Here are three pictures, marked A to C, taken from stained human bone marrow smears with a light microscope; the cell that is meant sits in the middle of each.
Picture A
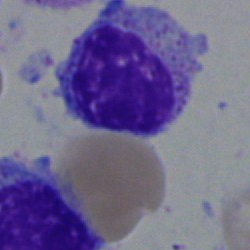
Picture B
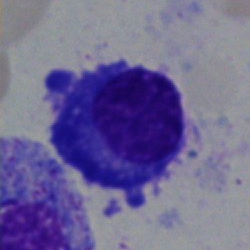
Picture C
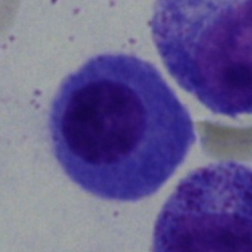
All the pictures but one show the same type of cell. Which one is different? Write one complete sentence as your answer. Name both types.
The different one is picture A; it shows a myelocyte, whereas all the others show plasma cells.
